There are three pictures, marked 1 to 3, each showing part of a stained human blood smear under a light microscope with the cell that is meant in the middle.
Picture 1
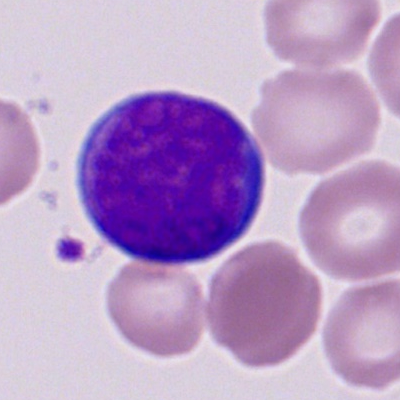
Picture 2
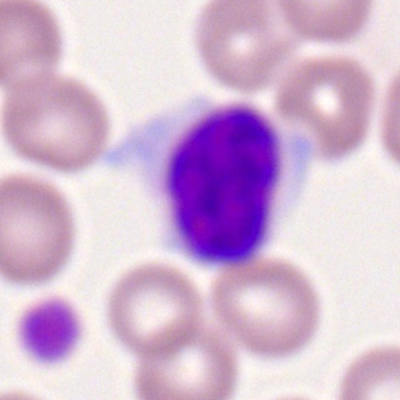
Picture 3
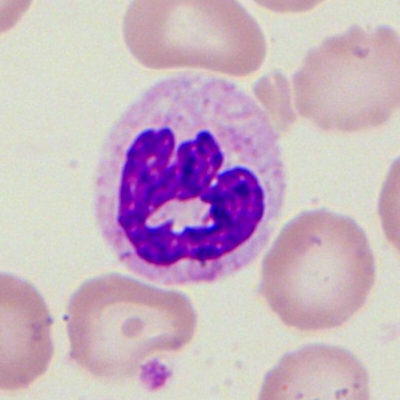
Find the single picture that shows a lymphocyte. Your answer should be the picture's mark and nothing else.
2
